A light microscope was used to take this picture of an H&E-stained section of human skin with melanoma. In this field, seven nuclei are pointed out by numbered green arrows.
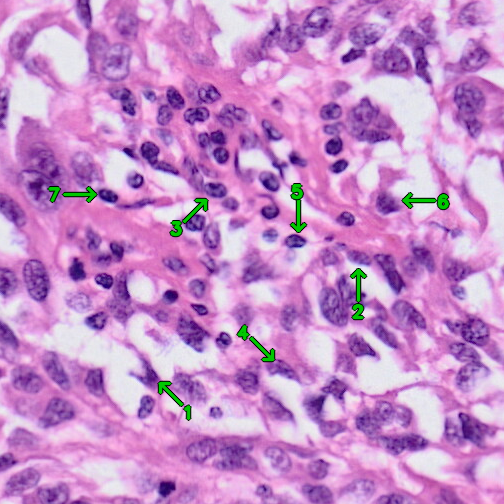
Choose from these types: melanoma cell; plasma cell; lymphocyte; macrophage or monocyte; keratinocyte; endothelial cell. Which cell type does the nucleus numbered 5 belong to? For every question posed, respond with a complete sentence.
The marked cell bearing number 5 is a lymphocyte.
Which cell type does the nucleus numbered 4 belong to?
Corresponding to a melanoma cell is the cell labelled 4.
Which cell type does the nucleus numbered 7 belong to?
The cell that goes by number 7 is a lymphocyte.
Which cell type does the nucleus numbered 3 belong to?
The cell indicated with the number 3 is classed as a lymphocyte.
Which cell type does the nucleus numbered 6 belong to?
The cell identified by number 6 is a melanoma cell.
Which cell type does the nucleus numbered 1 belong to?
Of the numbered cells, the one labelled 1 is a melanoma cell.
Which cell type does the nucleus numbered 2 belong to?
What the number 2 marks in this field is a melanoma cell.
